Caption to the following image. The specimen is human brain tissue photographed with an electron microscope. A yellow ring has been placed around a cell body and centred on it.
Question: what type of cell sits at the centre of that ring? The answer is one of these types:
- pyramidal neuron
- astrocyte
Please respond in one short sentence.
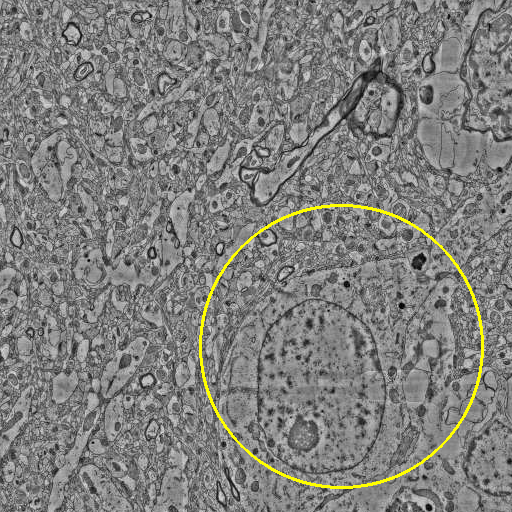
The ring surrounds the cell body of a pyramidal neuron.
